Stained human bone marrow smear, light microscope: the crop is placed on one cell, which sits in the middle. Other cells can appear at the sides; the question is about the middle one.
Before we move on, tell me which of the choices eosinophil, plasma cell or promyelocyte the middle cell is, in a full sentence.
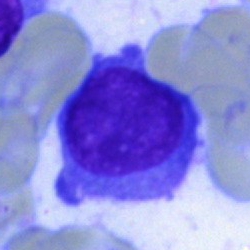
Centred in the crop is a plasma cell.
